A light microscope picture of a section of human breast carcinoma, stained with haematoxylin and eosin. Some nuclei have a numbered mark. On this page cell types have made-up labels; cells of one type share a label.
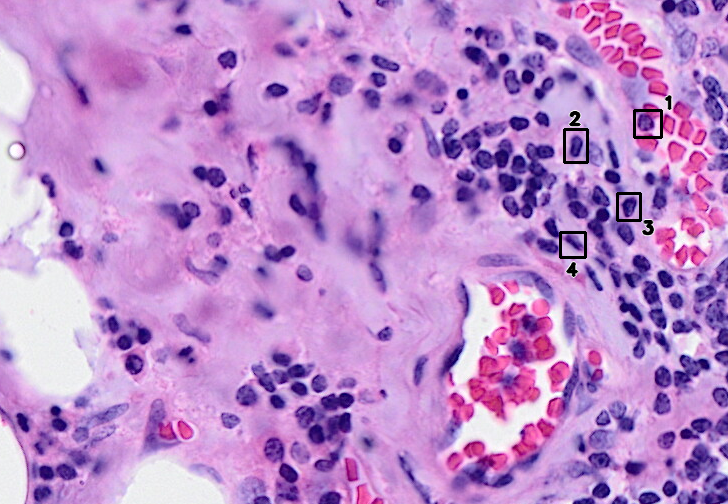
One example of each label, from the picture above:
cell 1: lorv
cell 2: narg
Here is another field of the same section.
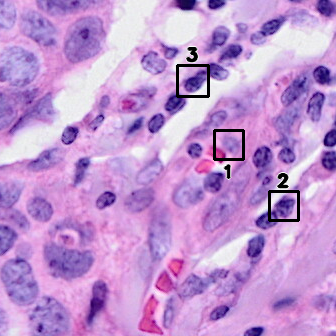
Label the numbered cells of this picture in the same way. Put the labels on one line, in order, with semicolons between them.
lorv; narg; narg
